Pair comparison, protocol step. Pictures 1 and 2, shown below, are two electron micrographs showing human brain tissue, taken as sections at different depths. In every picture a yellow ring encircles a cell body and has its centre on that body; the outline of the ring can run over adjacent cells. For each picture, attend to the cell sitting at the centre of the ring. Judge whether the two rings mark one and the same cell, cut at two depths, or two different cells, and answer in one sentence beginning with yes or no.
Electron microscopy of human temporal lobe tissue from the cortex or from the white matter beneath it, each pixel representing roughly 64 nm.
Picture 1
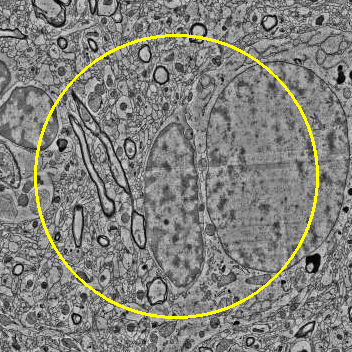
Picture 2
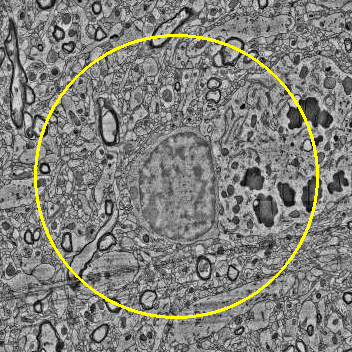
No, the pair of rings marks a pair of different cells.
